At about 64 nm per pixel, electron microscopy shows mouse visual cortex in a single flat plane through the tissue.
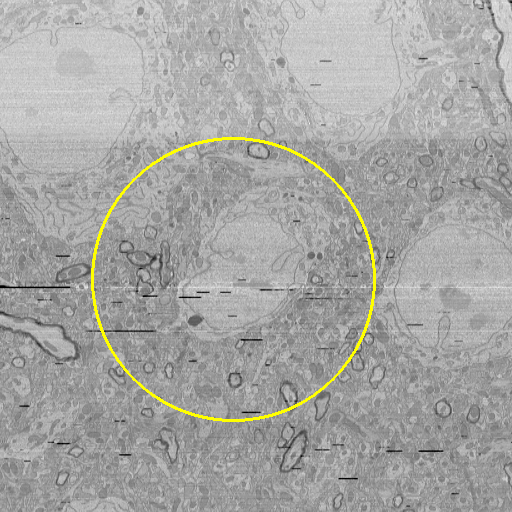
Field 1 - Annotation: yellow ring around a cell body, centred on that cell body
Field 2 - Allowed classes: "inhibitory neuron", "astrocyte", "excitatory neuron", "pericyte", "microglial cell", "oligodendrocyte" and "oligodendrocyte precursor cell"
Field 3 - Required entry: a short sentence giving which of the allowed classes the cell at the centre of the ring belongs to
The centred cell is an inhibitory neuron.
